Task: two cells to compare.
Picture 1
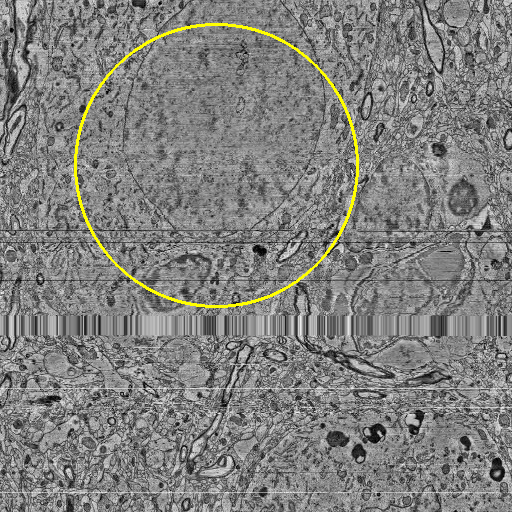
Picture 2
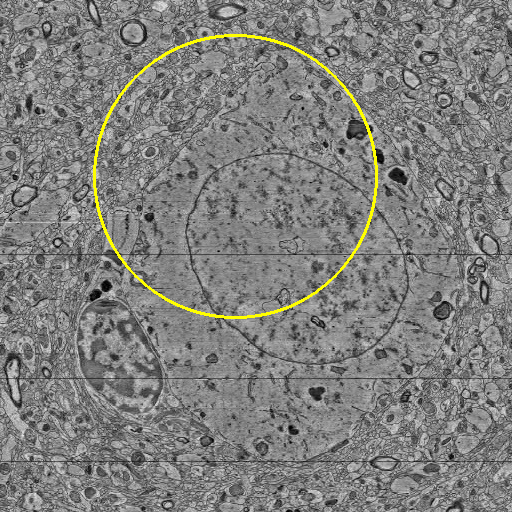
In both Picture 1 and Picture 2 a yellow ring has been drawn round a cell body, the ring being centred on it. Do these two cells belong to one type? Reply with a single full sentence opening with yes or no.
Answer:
Yes, the two cells at the ring centres in Picture 1 and Picture 2 share one type.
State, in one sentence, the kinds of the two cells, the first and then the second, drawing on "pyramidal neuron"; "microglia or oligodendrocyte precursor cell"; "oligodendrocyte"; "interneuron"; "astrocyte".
In each picture the ringed cell is a pyramidal neuron.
